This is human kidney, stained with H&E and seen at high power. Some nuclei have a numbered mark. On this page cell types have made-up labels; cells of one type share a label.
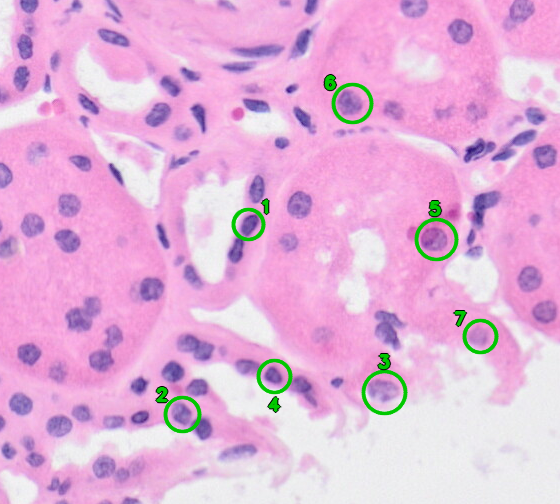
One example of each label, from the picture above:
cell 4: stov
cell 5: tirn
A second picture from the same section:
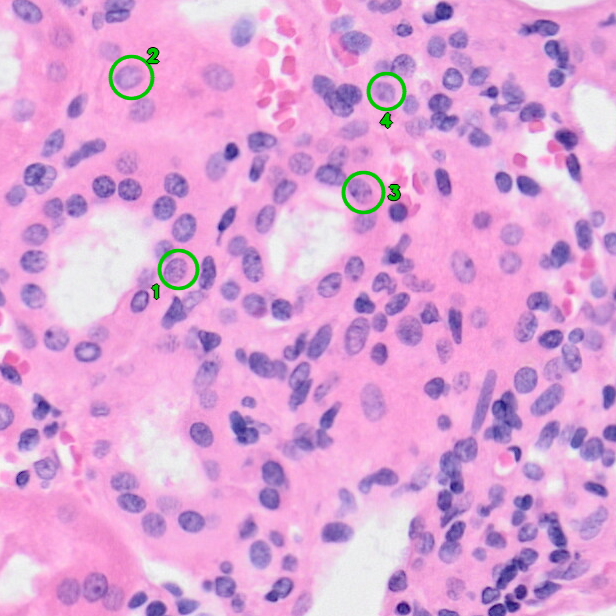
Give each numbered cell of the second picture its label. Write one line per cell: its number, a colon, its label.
1: stov
2: tirn
3: stov
4: stov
